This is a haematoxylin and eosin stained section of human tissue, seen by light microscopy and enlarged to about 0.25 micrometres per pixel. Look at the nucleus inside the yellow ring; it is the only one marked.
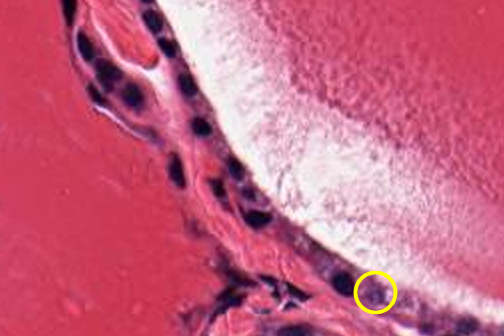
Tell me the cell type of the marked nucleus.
thyroid follicular cell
